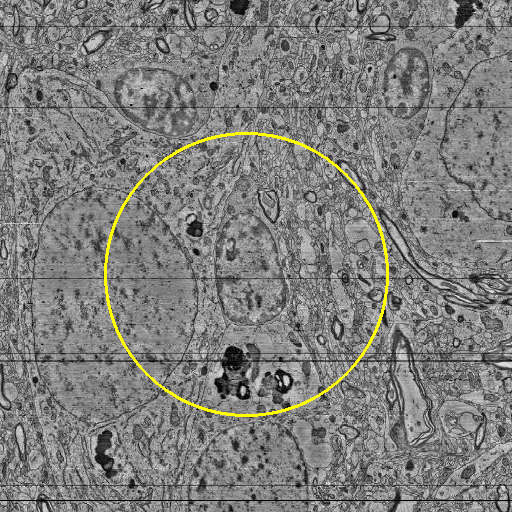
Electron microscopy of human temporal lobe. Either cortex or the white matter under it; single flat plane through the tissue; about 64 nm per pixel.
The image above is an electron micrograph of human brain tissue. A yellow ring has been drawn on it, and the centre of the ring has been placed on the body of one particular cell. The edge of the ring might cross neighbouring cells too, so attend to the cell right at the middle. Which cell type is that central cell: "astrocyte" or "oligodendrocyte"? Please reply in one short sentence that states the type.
The central cell in the ring is an oligodendrocyte.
